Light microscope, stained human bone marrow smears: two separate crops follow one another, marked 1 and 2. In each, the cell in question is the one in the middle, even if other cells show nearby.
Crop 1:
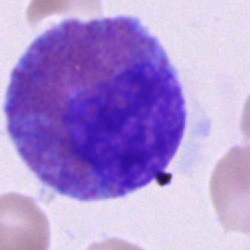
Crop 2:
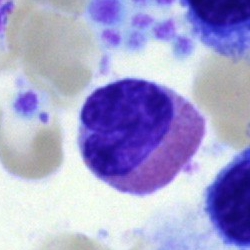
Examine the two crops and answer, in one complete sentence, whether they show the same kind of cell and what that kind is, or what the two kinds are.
Yes, both crops show a cell each, and these are eosinophils.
